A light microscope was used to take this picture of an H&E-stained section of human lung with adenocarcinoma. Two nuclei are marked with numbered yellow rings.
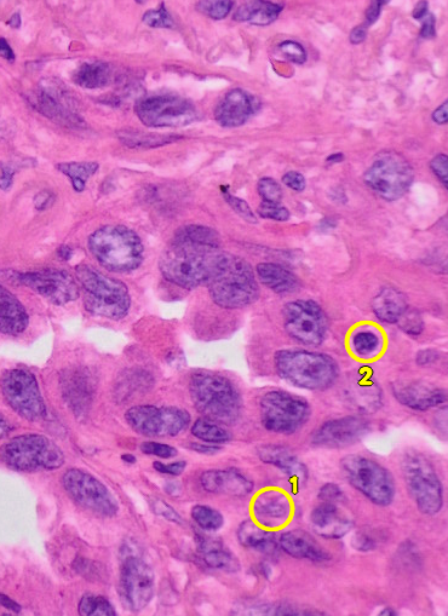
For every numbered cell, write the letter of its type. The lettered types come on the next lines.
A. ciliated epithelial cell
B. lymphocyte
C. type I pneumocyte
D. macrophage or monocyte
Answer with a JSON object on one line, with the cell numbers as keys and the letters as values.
{"1": "D", "2": "B"}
